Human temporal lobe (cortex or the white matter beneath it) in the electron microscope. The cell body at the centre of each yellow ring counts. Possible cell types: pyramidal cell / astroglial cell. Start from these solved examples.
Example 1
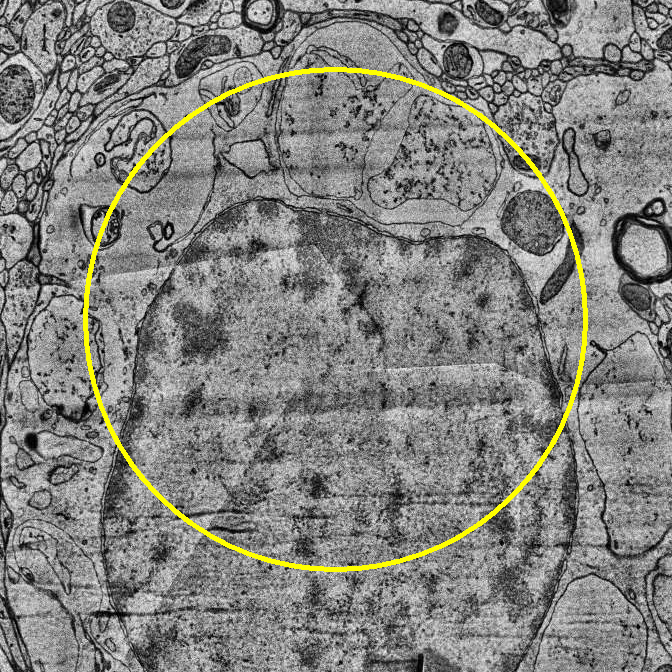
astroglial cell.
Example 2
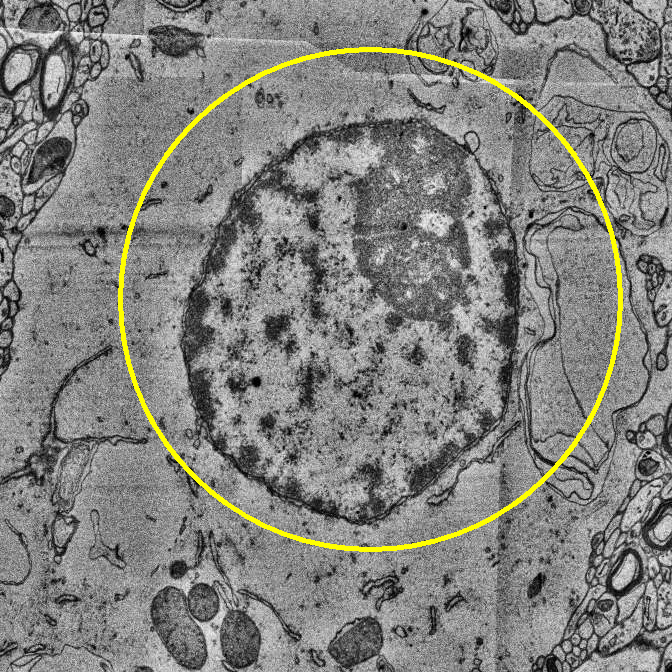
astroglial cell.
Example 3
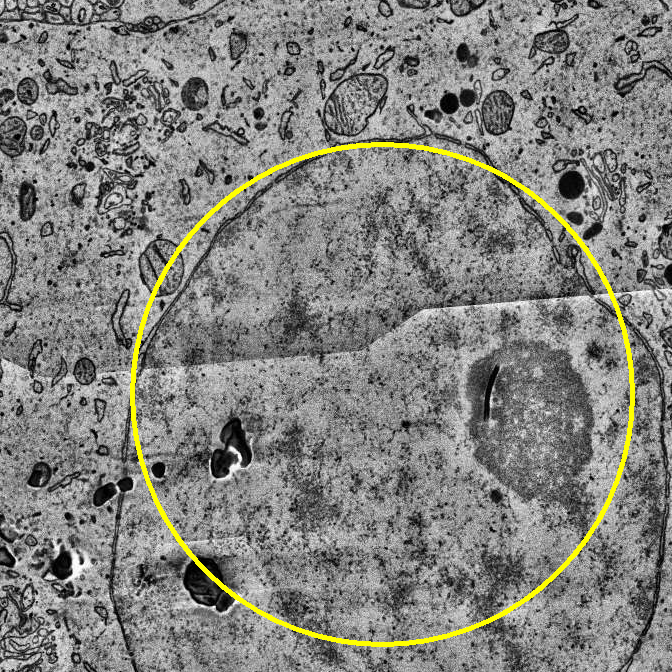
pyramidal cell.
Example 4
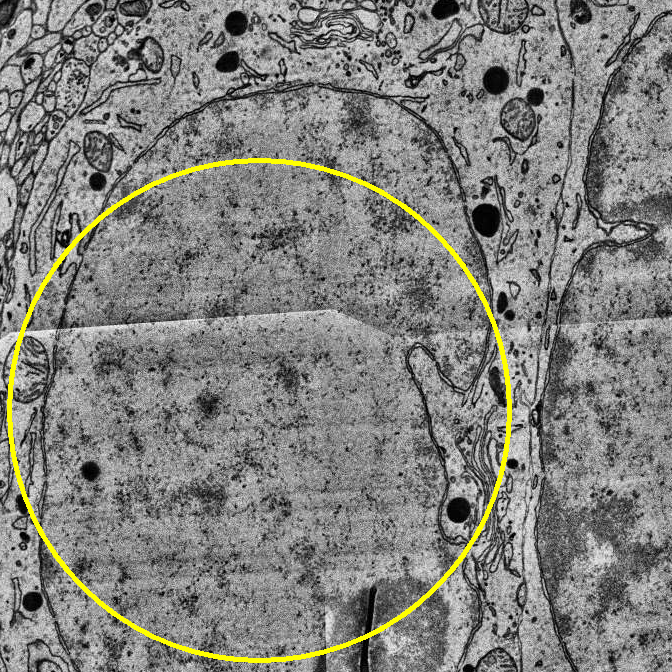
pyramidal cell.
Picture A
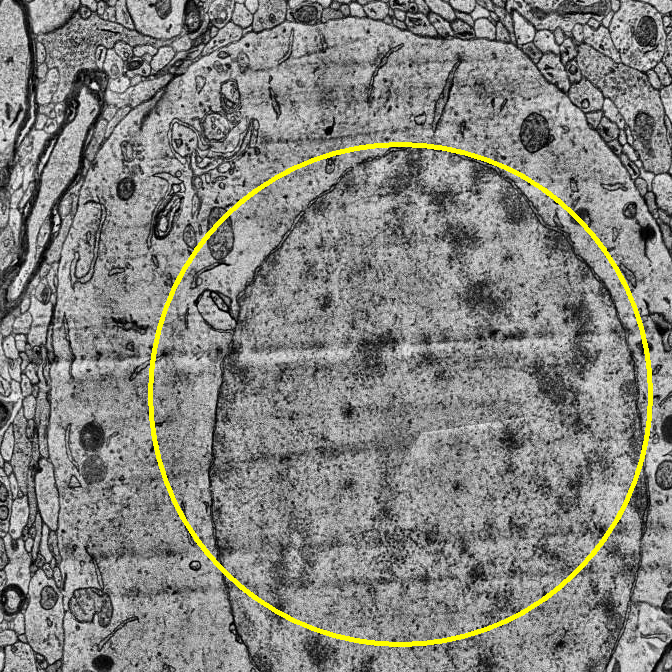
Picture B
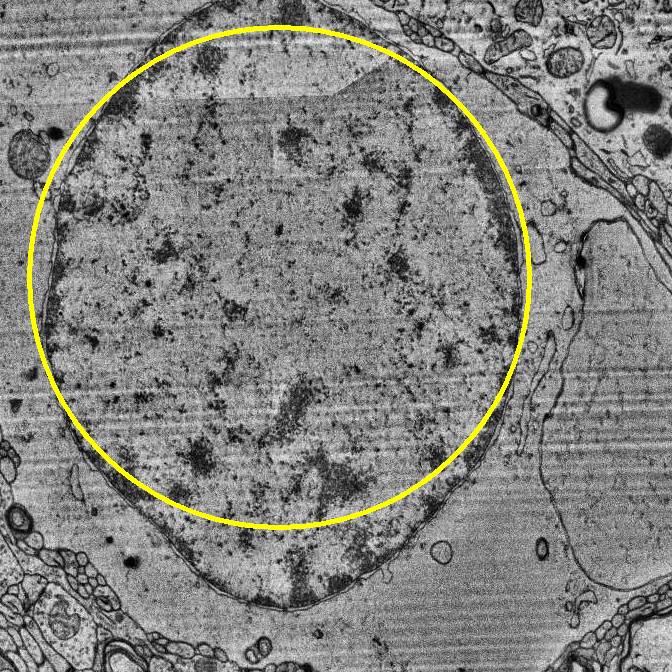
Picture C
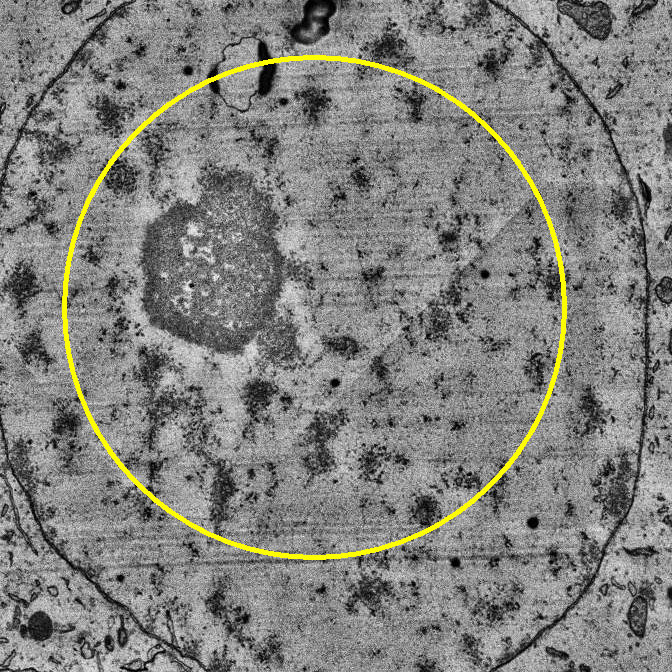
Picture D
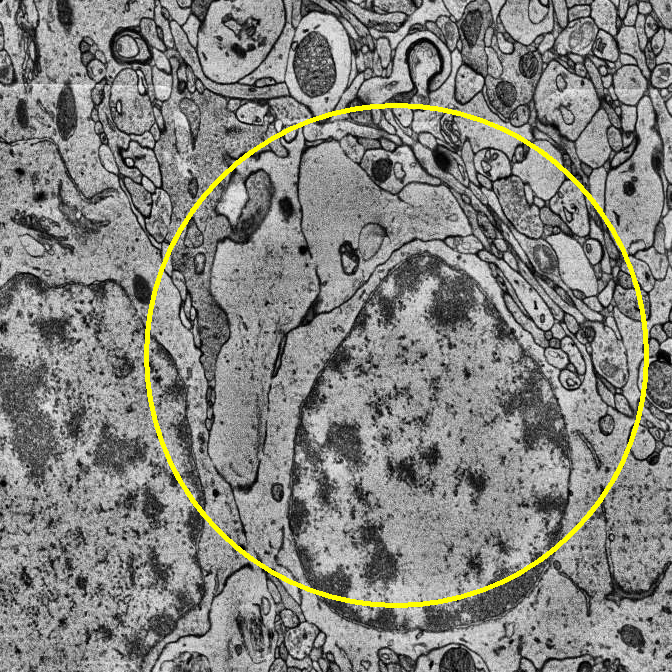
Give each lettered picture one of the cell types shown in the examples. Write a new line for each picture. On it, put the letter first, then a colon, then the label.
A: pyramidal cell.
B: astroglial cell.
C: pyramidal cell.
D: astroglial cell.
